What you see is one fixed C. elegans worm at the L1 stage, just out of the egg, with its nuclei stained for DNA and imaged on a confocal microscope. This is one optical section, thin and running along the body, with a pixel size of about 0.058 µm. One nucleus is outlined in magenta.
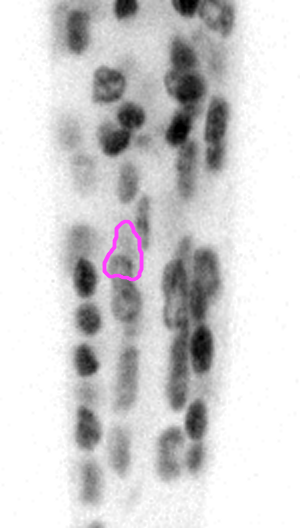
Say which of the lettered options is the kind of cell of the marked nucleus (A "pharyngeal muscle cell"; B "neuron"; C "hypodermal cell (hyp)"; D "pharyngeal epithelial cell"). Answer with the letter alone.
D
